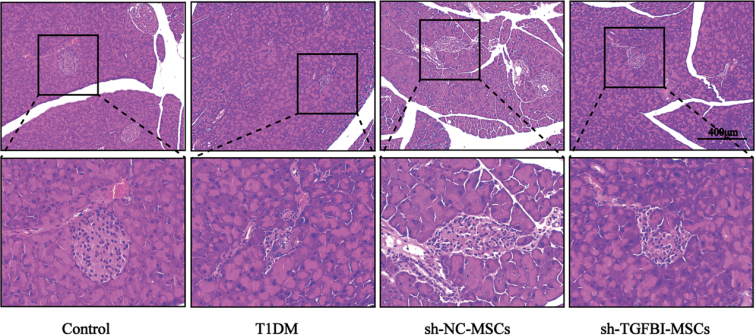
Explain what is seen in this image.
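These are sections of pancreatic tissue, mostly exocrine acinar tissue, with small rounded islets set among it. The acinar cells stain deep pink with purple nuclei and pack tightly into lobules separated by clear gaps and thin septa. The islets differ in size between the views; some are large and well-defined, while others are small, irregular and hard to pick out from the surrounding tissue.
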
